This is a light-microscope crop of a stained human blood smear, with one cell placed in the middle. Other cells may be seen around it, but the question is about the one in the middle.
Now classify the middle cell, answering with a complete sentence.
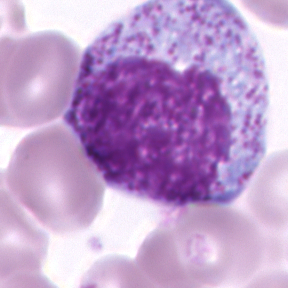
At the middle of the frame sits a myelocyte.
